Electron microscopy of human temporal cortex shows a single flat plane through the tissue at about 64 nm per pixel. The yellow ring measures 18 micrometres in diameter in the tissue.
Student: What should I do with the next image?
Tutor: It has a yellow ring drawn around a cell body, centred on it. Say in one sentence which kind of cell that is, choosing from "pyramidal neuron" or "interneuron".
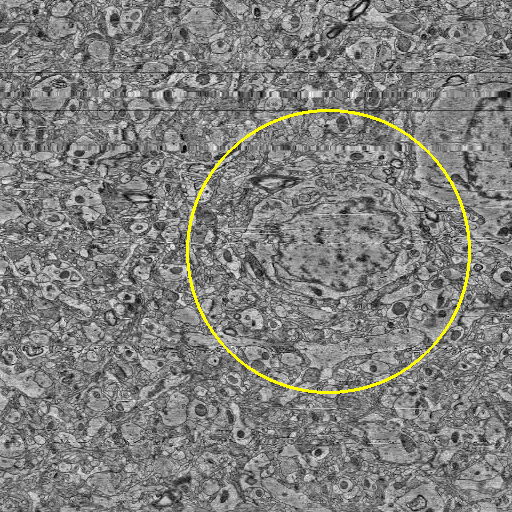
The ring's centre is occupied by an interneuron.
